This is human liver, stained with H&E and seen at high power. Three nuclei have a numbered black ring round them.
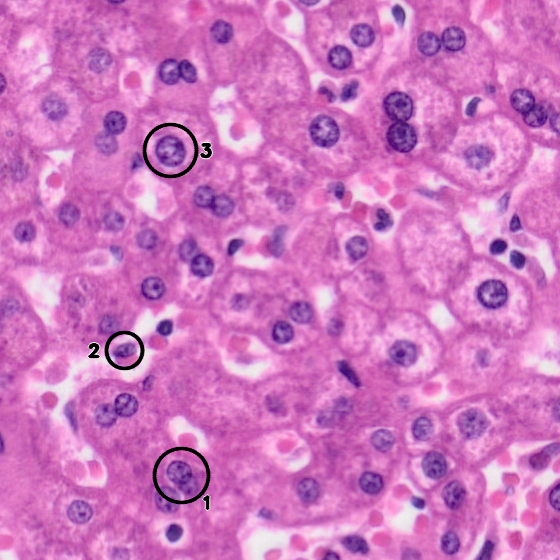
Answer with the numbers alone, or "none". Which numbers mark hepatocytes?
1, 3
